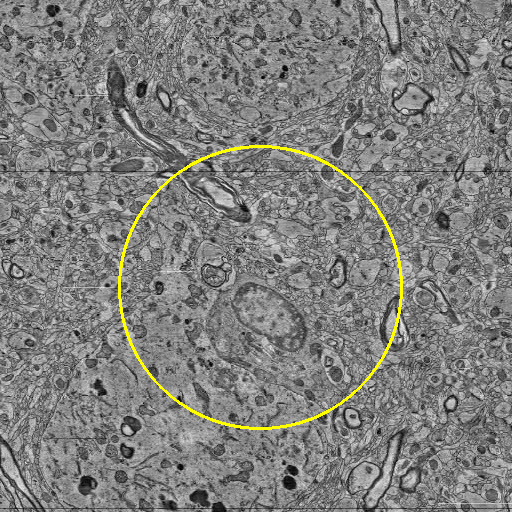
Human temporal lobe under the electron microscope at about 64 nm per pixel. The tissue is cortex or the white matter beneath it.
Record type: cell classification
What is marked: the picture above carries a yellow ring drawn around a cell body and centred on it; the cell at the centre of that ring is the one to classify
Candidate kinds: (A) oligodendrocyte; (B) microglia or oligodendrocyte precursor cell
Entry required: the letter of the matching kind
A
